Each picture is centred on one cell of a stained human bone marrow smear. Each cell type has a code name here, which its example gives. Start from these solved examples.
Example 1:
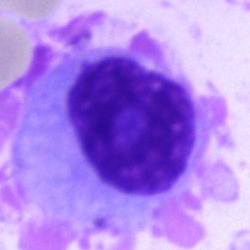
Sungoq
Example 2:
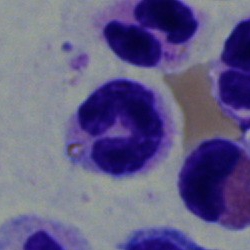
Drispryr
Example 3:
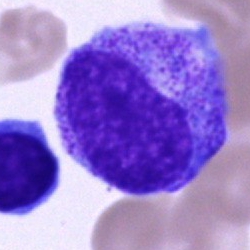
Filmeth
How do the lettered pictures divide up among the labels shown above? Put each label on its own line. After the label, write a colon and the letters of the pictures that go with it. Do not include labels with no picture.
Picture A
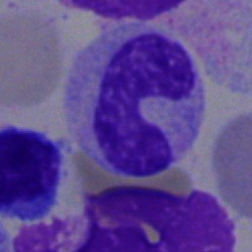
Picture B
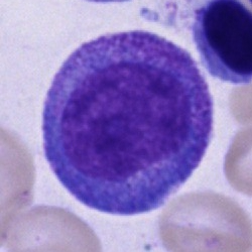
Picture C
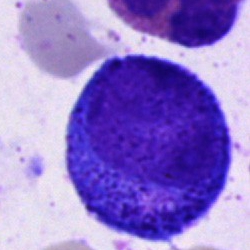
Drispryr: A
Filmeth: B, C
